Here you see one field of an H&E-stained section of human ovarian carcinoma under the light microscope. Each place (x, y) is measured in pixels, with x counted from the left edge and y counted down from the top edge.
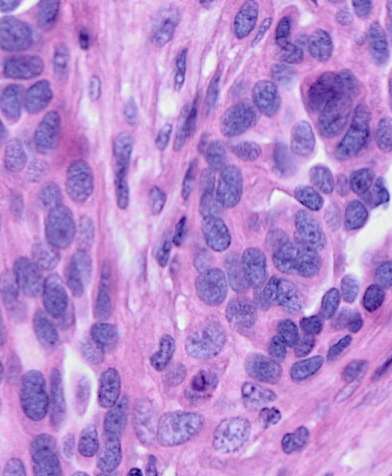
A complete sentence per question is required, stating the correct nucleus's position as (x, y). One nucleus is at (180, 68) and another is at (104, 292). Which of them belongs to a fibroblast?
The nucleus that belongs to a fibroblast is located at (180, 68).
